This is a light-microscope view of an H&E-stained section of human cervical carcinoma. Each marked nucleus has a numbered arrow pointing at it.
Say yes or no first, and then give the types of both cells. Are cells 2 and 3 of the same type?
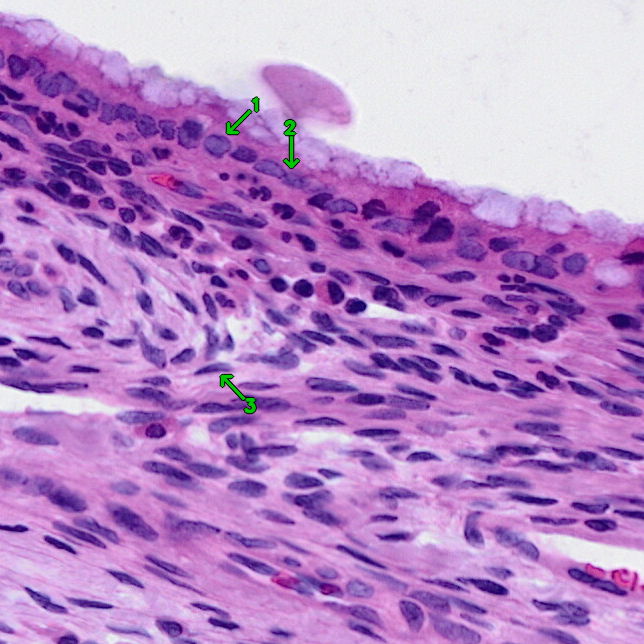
No, cell 2 is a secretory epithelial cell; as for cell 3, that one is a fibroblast.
